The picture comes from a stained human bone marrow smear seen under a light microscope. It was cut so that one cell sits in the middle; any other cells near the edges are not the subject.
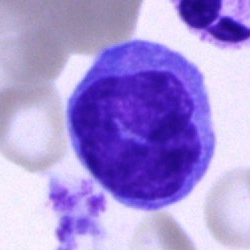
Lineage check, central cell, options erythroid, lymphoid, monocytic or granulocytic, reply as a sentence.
The cell in the middle of the crop belongs to the monocytic lineage.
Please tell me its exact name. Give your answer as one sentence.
On this slide crop, the central cell is a monocyte.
